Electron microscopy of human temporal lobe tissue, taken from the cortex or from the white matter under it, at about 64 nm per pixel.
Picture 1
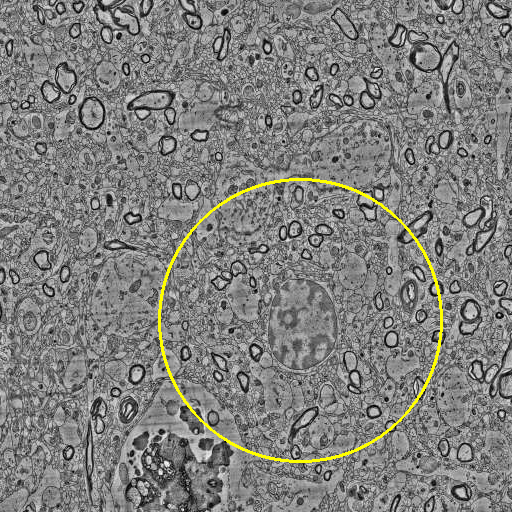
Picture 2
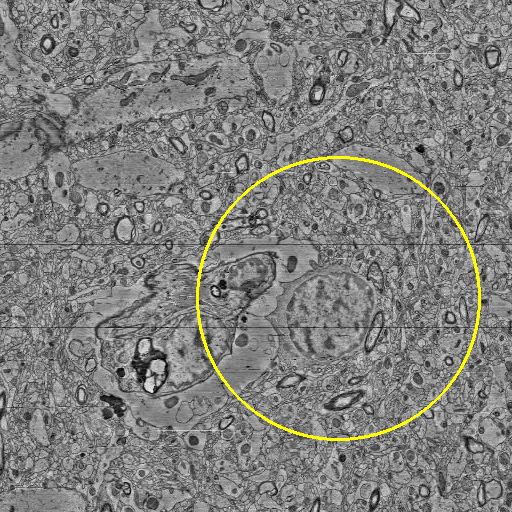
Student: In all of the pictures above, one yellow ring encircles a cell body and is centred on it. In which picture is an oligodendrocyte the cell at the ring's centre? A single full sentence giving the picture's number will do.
Picture number 2 has the wanted cell right at the centre of its ring.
